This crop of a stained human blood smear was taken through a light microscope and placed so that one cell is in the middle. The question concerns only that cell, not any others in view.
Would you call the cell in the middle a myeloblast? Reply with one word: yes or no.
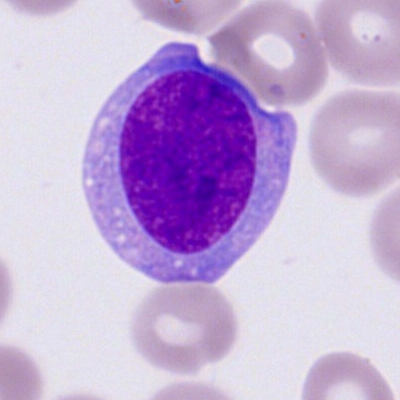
yes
